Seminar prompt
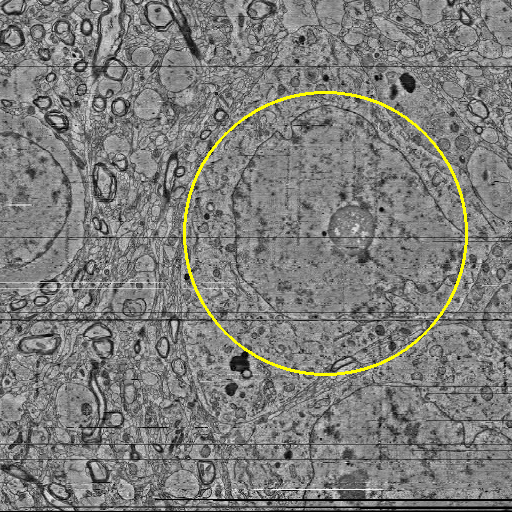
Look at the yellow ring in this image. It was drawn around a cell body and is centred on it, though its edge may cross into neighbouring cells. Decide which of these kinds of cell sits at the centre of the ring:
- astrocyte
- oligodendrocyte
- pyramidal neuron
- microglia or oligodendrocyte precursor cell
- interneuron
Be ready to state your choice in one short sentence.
The kind of cell at the ring's centre is a pyramidal neuron.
